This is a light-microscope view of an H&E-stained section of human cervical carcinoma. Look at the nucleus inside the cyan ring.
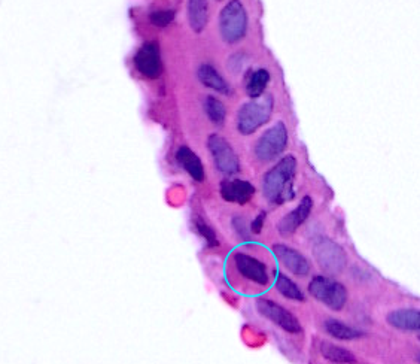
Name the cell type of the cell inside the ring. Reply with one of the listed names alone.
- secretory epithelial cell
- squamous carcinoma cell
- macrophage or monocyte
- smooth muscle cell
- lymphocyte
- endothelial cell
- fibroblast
secretory epithelial cell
